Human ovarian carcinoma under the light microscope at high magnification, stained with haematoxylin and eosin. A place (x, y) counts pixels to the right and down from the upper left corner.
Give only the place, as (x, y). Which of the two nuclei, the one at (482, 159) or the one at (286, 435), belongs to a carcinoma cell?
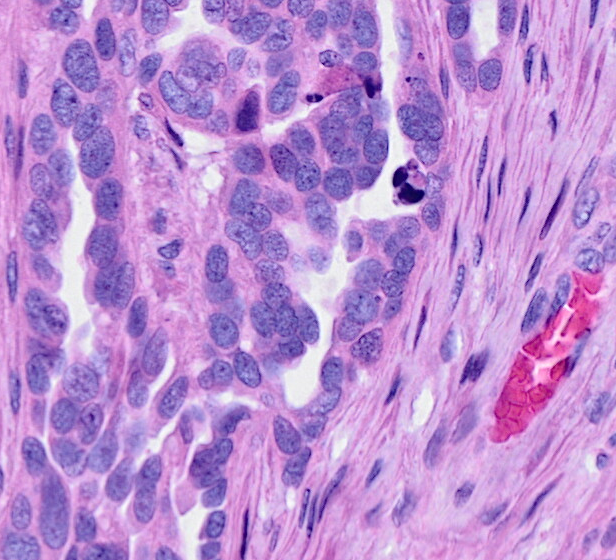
(286, 435)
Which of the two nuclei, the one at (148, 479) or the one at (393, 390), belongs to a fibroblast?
(393, 390)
